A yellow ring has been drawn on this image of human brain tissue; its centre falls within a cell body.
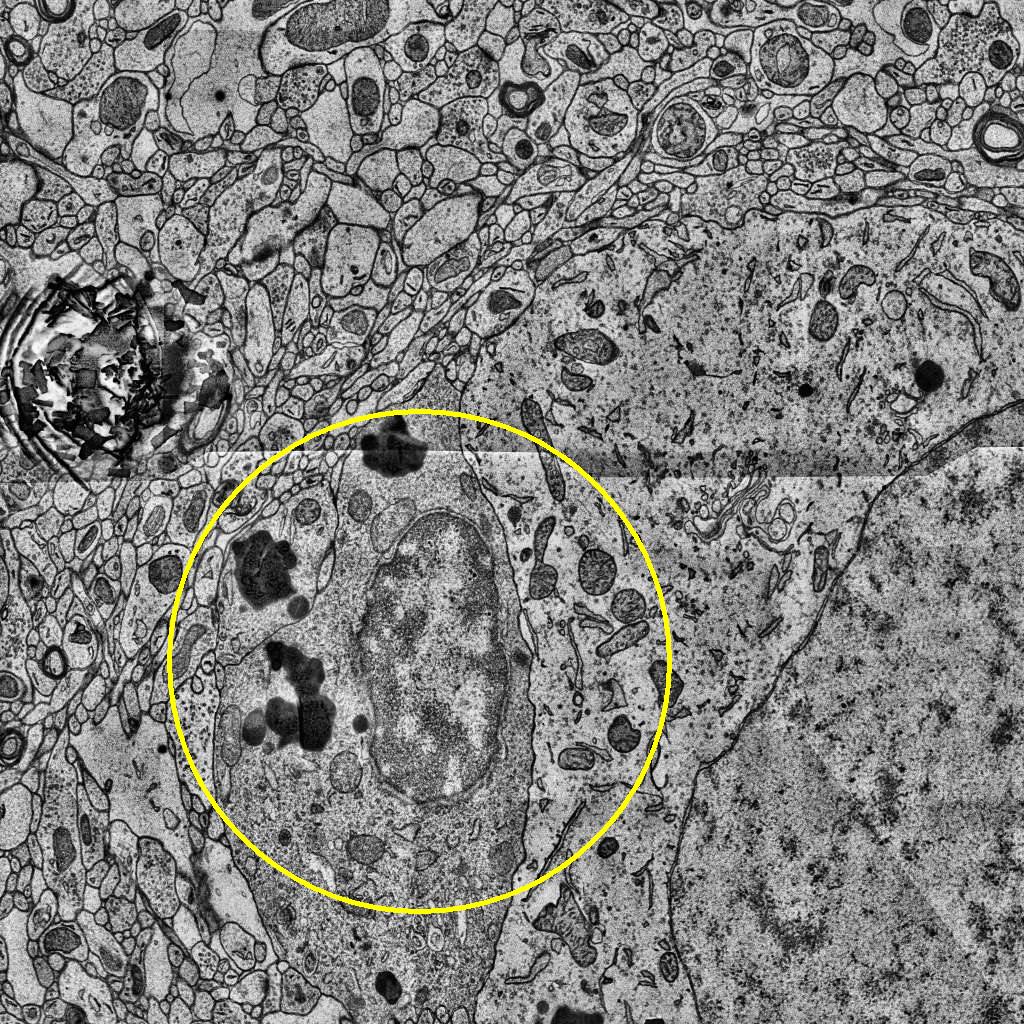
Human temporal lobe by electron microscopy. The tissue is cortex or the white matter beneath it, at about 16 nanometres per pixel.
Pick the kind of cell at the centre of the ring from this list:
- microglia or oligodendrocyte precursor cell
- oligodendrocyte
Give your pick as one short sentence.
The centre of the ring holds an oligodendrocyte.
